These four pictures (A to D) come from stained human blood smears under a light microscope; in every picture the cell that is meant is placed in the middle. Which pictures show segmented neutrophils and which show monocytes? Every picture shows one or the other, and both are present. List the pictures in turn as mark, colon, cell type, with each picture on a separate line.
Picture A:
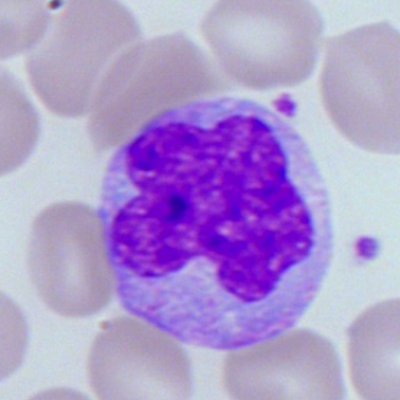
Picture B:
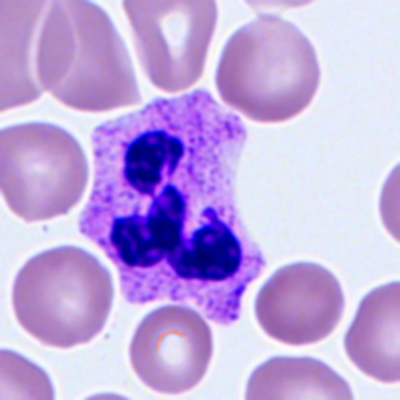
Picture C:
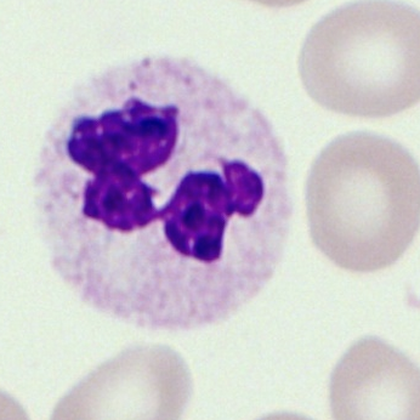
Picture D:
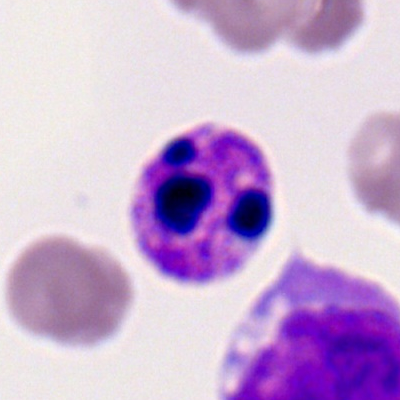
A: monocyte
B: segmented neutrophil
C: segmented neutrophil
D: segmented neutrophil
